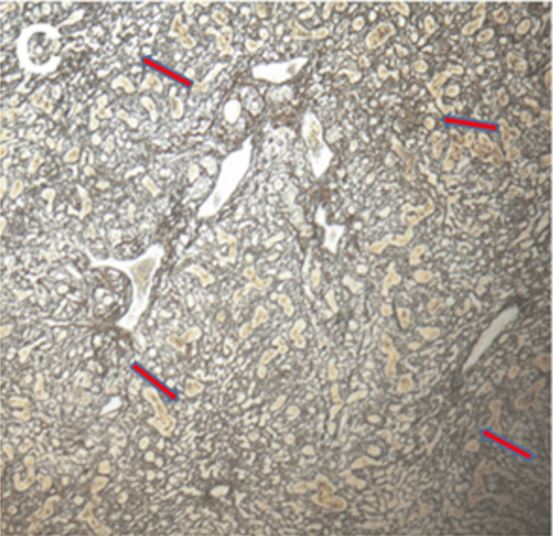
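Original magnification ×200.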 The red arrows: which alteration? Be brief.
Reticular framework collapse.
